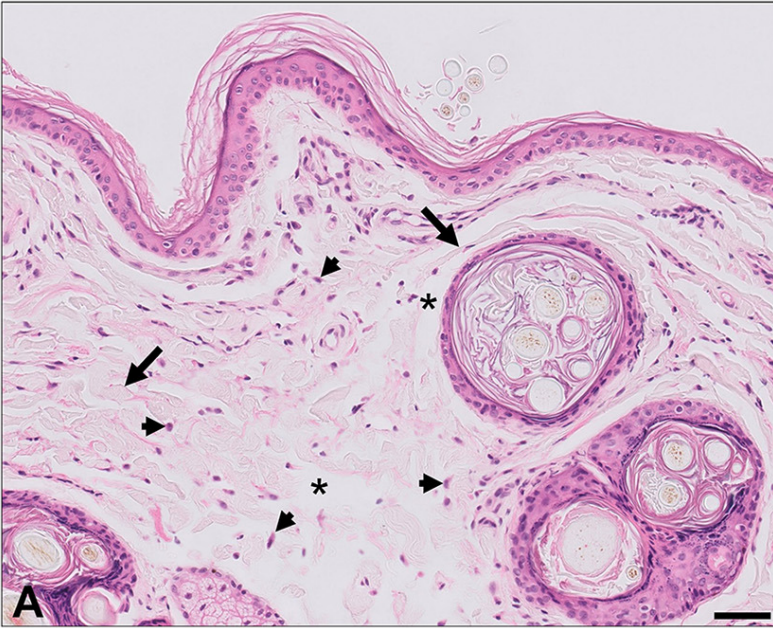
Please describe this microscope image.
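Skin is seen in section, with a thin stratified squamous epidermis at the top under a layer of flaky keratin. Below it, hair follicles with round profiles contain several hair shafts. The dermis between them is pale and loosely arranged, made of thin, irregular pink fibers with wide clear spaces between them, and scattered plump, spindle-shaped fibroblast nuclei stain dark purple.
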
